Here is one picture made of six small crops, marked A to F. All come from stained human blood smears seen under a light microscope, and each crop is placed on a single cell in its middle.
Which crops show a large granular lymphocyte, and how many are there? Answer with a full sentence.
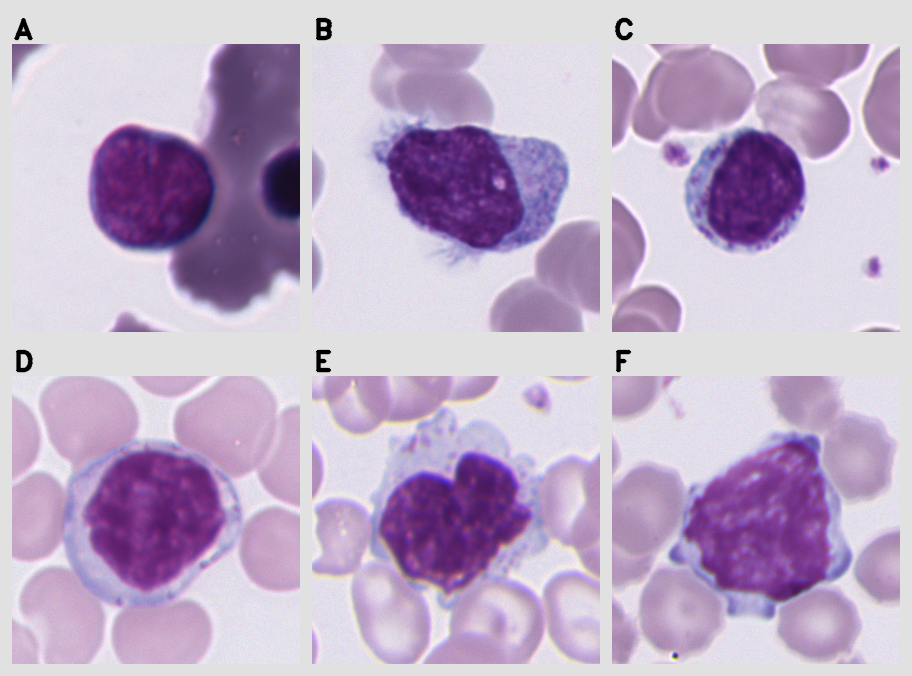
In this group, three crops have large granular lymphocytes: C, D and E.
